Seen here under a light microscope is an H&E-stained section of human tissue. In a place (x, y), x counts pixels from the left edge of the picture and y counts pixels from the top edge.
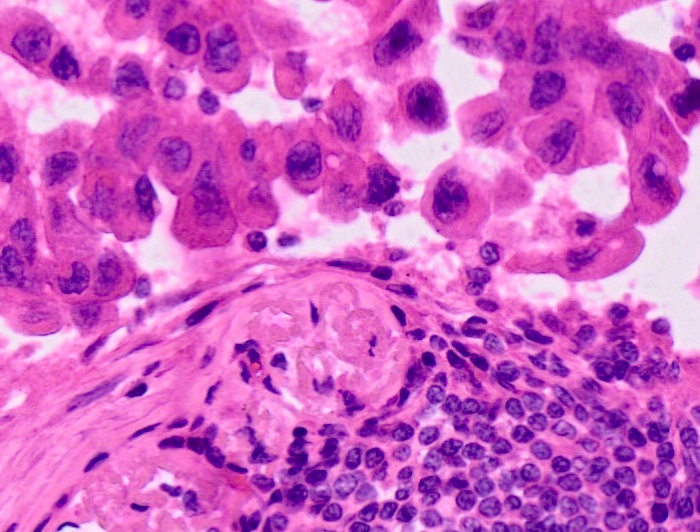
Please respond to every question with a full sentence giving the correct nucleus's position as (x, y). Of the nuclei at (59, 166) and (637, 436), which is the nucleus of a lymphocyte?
Of these two nuclei, it is the one at (637, 436) that belongs to a lymphocyte.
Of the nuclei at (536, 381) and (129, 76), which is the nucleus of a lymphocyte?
The nucleus that belongs to a lymphocyte sits at (536, 381).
